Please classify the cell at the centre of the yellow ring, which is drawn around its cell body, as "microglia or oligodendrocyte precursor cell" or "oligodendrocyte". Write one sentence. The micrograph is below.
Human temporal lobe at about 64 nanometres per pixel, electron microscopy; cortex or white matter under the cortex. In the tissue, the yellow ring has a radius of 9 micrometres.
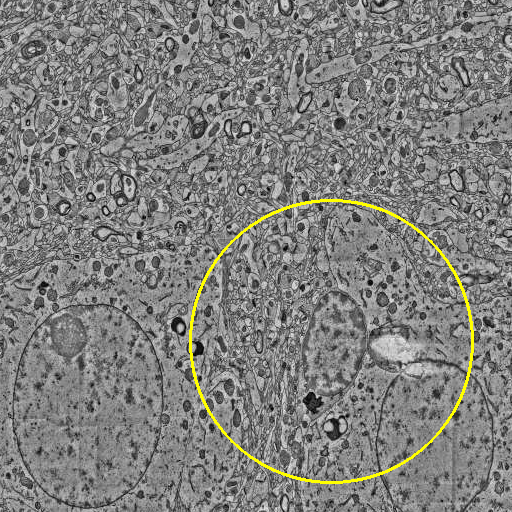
The cell at the ring's centre is classified as an oligodendrocyte.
